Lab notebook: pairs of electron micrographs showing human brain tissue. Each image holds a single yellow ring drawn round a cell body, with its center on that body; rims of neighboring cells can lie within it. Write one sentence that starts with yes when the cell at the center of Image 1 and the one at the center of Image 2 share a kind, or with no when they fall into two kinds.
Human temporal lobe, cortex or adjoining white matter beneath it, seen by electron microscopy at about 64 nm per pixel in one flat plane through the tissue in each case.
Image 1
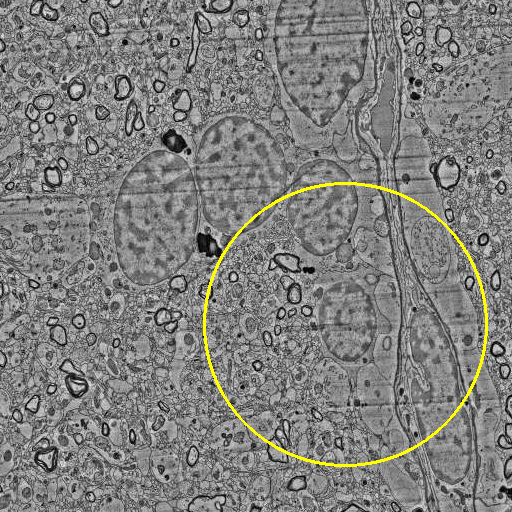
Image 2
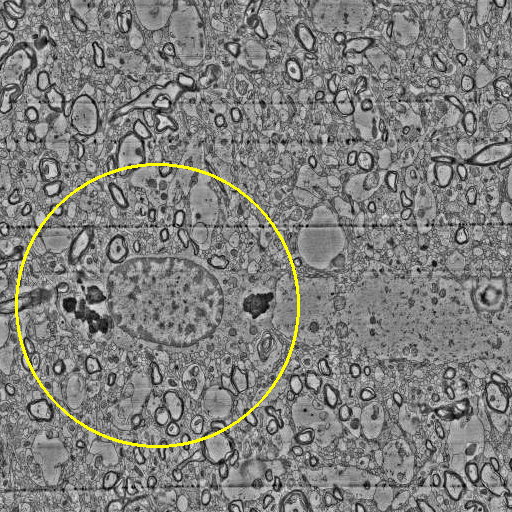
Yes, the centered cell in Image 1 and the centered cell in Image 2 are of one kind.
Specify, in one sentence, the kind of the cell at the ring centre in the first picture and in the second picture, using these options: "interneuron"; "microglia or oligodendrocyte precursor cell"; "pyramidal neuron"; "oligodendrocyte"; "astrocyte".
Each cell, in the first picture and the second, is an oligodendrocyte.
